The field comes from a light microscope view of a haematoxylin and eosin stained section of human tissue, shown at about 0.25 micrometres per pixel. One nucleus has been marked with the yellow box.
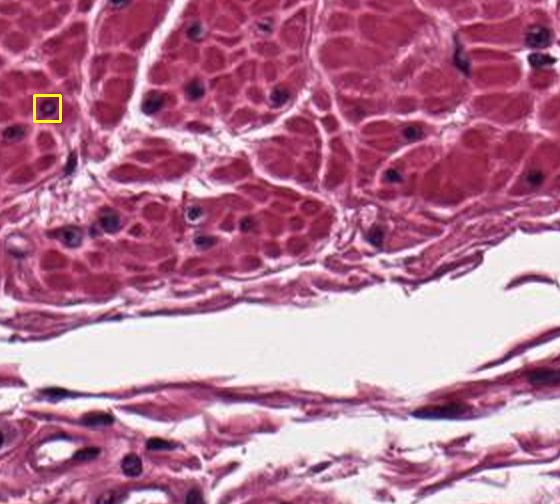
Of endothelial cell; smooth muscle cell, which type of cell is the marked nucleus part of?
smooth muscle cell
